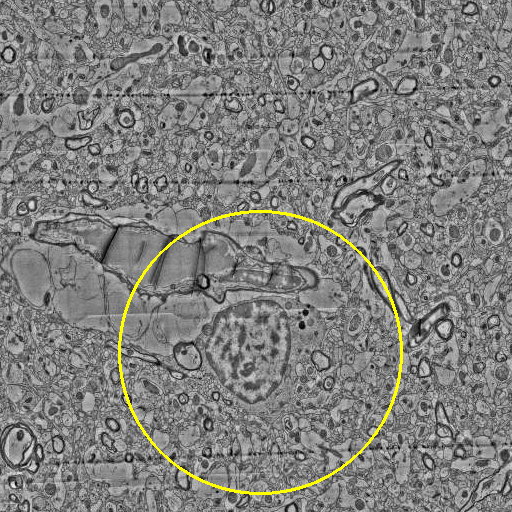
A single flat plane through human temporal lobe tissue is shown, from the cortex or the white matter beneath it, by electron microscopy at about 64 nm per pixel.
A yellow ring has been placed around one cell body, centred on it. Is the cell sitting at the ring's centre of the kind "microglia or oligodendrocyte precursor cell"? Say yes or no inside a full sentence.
No, the cell at the centre of the yellow ring belongs to a different kind.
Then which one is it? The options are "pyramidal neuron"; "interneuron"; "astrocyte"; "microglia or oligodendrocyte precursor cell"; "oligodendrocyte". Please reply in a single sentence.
The cell this ring marks is an oligodendrocyte.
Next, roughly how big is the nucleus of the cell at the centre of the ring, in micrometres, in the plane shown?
Roughly 7 by 5 micrometres is the size of the nucleus in this plane.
